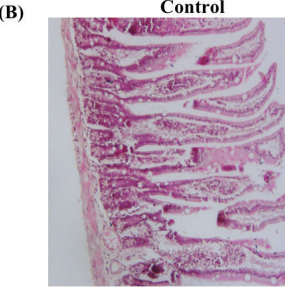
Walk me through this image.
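Long, slender villi stained pink and purple extend in orderly rows from a thin wall toward the lumen. Each villus is covered by a single layer of tall columnar epithelial cells with a looser core inside. The thin outer wall lies closely against the mucosa without a widened pale gap. This is normal-looking intestinal mucosa.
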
